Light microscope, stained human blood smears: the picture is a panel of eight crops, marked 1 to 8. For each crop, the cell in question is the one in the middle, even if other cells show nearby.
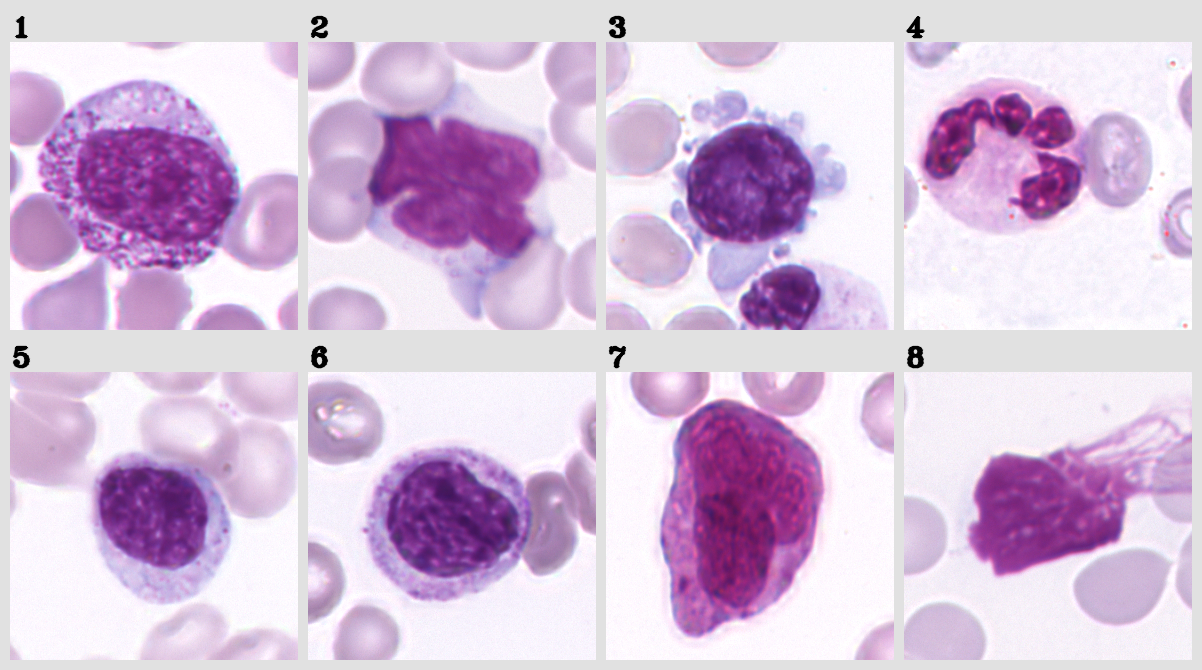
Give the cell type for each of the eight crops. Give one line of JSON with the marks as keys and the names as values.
{"1": "myelocyte", "2": "large granular lymphocyte", "3": "plasma cell", "4": "segmented neutrophil", "5": "metamyelocyte", "6": "myelocyte", "7": "atypical promyelocyte", "8": "smudge cell"}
